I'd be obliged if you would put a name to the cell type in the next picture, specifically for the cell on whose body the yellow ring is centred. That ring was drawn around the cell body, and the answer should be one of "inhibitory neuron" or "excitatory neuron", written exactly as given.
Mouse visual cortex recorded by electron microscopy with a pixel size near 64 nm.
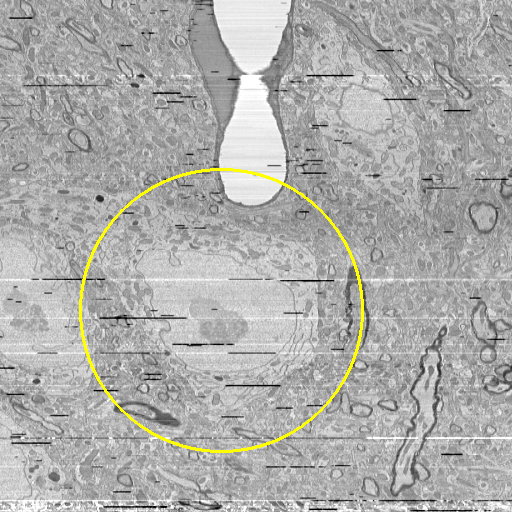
excitatory neuron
